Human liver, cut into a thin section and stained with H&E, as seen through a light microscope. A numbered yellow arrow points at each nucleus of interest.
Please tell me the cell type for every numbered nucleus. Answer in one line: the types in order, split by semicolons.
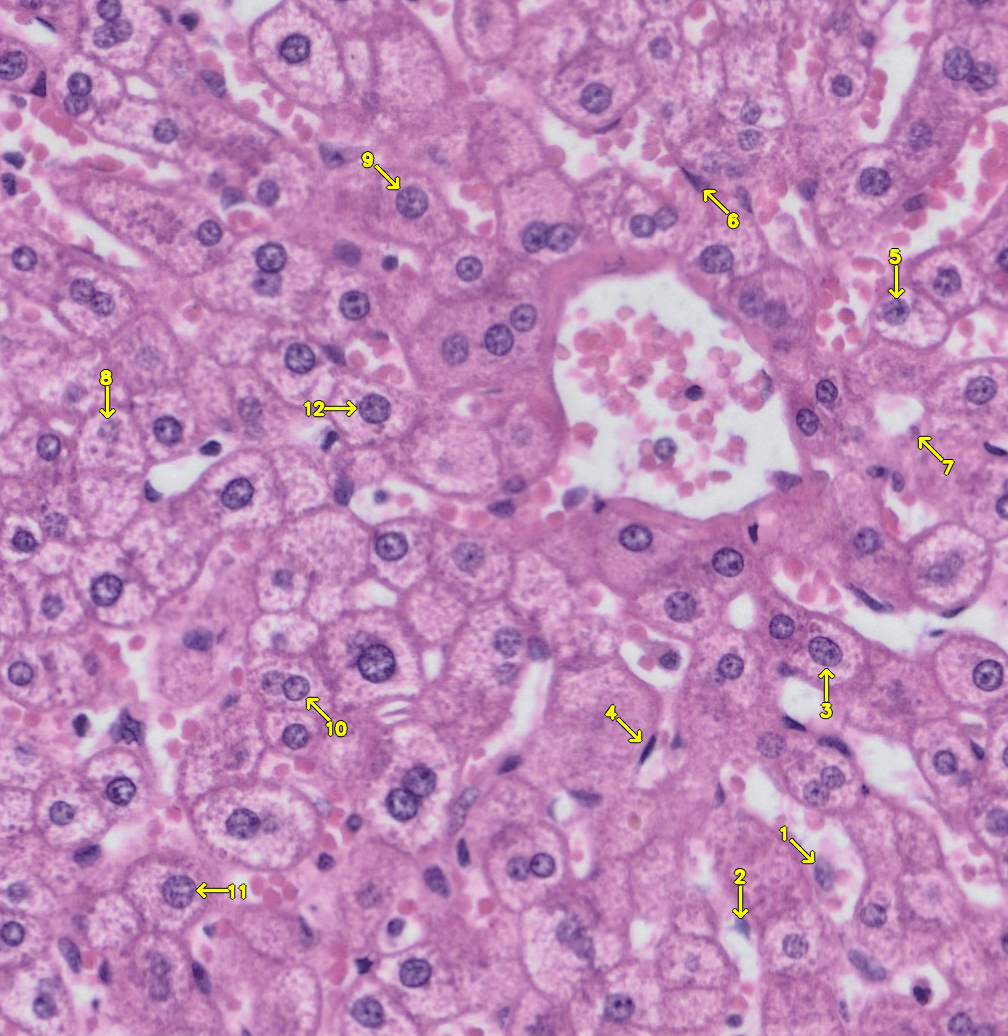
Kupffer cell; endothelial cell; hepatocyte; endothelial cell; hepatocyte; fibroblast or stellate cell; Kupffer cell; hepatocyte; hepatocyte; hepatocyte; hepatocyte; hepatocyte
